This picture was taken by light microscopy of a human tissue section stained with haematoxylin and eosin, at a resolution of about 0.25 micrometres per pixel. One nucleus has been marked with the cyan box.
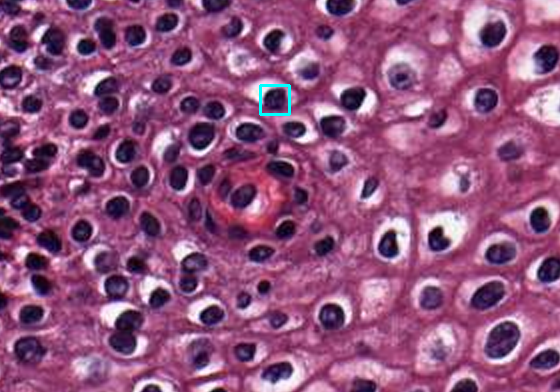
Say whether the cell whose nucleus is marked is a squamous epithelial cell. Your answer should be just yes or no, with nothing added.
yes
